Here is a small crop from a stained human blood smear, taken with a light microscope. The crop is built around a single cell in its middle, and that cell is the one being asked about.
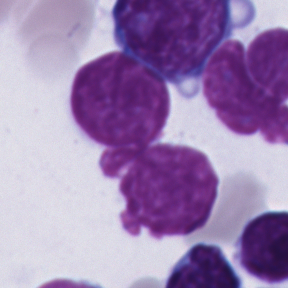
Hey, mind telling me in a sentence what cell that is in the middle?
Of the cells in this crop, the central one is a myeloblast.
